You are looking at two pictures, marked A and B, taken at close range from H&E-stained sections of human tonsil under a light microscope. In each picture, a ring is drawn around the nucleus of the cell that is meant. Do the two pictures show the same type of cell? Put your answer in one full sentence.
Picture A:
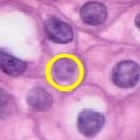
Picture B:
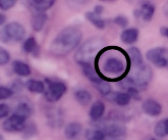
No, picture A shows a squamous epithelial cell and picture B shows an endothelial cell.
